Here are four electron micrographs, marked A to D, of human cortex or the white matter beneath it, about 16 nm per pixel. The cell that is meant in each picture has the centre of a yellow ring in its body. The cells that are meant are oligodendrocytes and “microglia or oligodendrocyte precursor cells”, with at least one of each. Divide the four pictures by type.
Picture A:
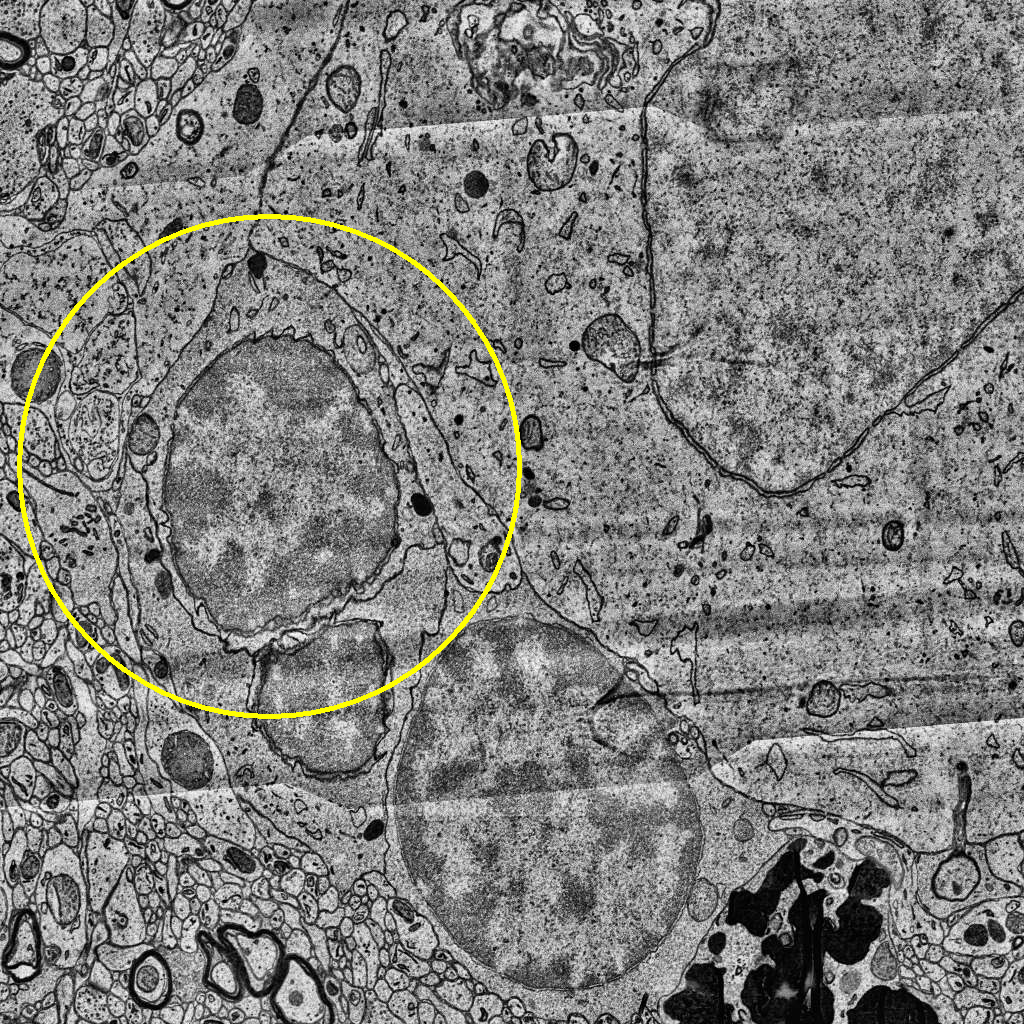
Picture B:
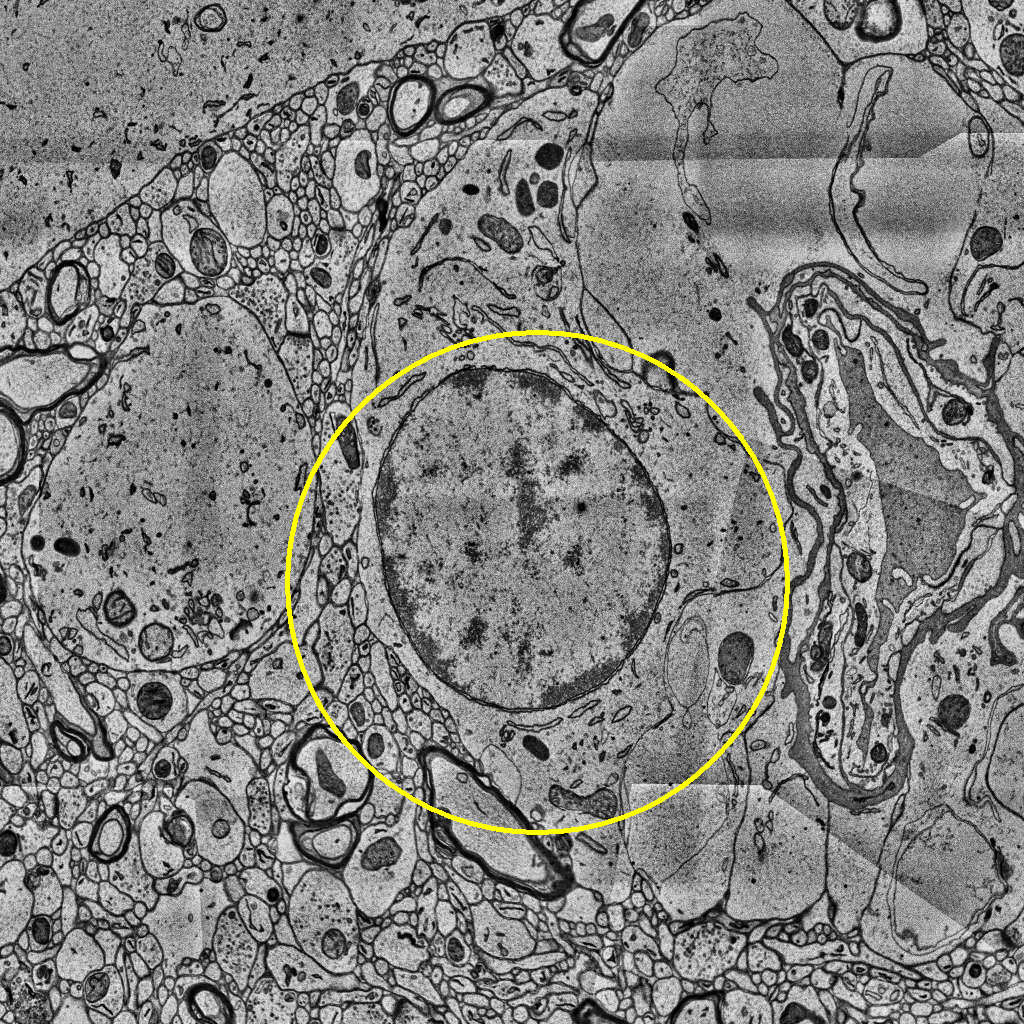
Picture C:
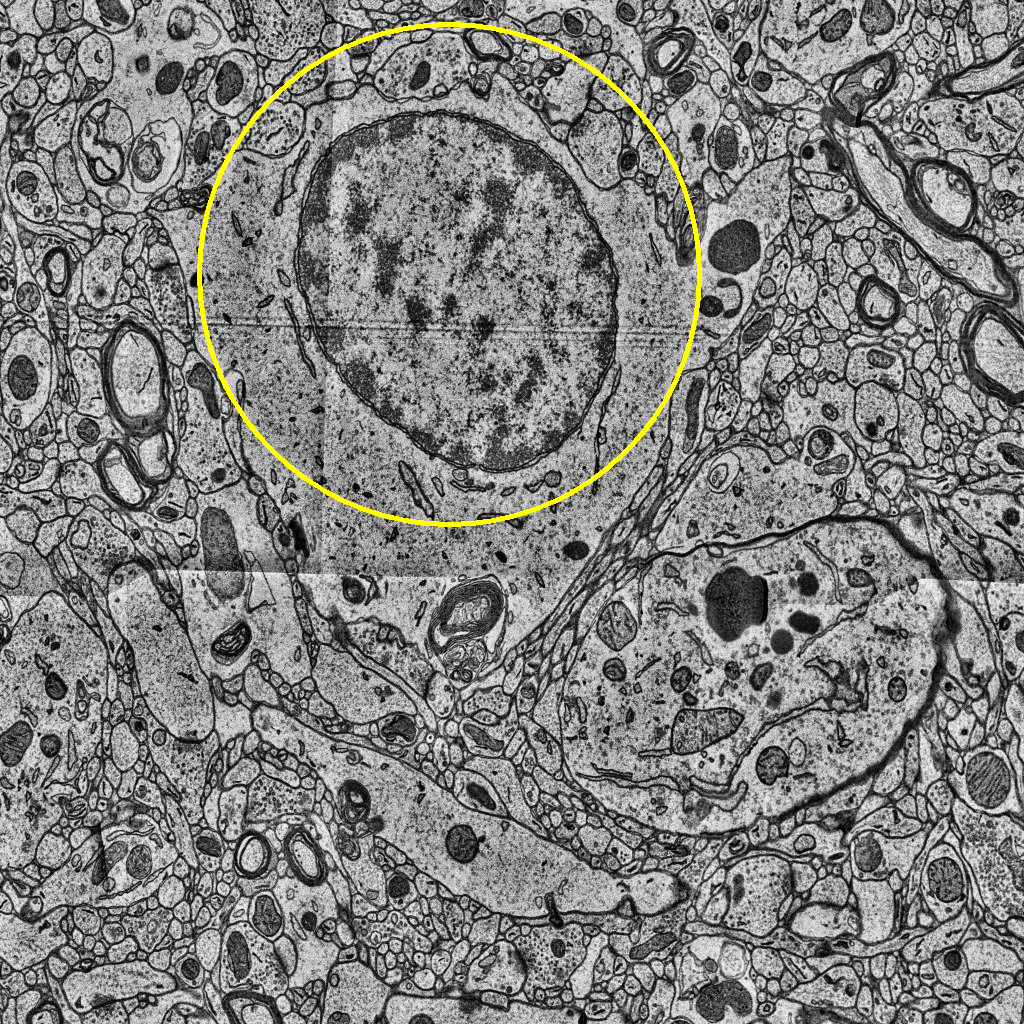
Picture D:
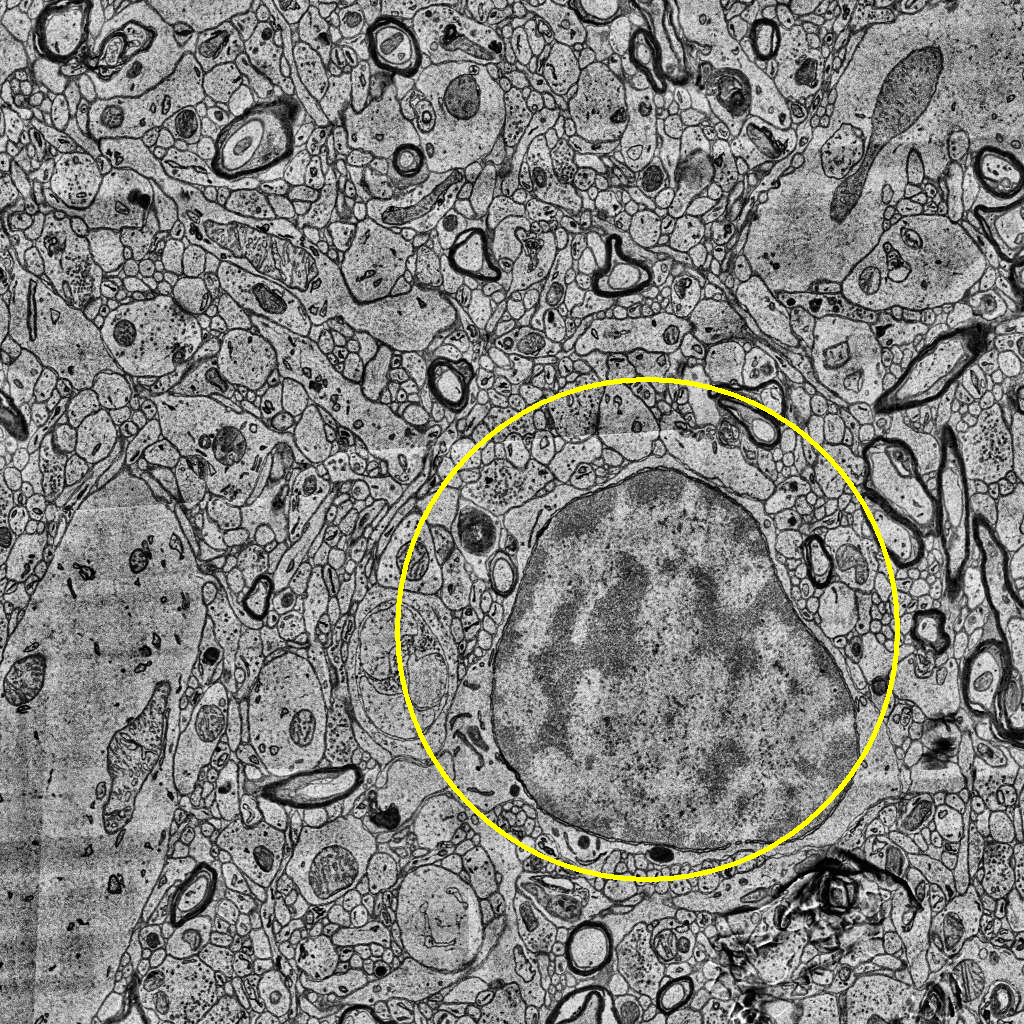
Picture A shows an oligodendrocyte, while pictures B, C and D show “microglia or oligodendrocyte precursor cells”.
